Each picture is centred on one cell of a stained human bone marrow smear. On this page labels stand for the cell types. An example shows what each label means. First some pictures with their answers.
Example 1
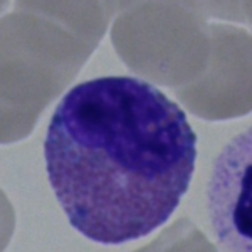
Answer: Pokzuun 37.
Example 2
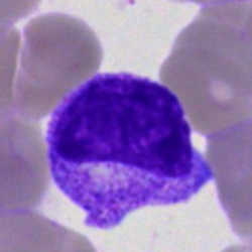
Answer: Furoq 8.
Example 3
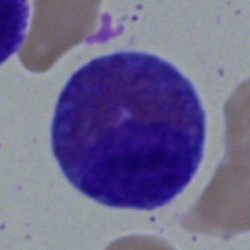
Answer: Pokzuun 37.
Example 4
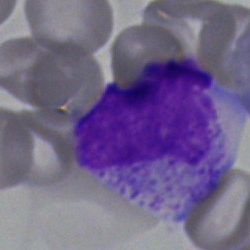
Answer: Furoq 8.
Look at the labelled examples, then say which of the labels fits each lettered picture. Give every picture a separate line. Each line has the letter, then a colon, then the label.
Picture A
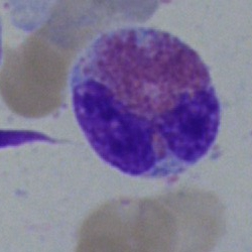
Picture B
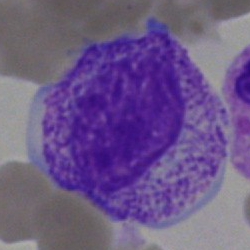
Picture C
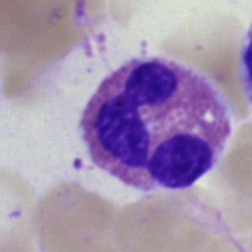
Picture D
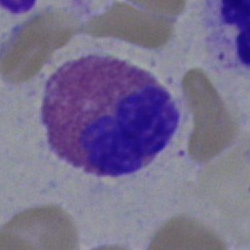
A: Pokzuun 37.
B: Furoq 8.
C: Pokzuun 37.
D: Pokzuun 37.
